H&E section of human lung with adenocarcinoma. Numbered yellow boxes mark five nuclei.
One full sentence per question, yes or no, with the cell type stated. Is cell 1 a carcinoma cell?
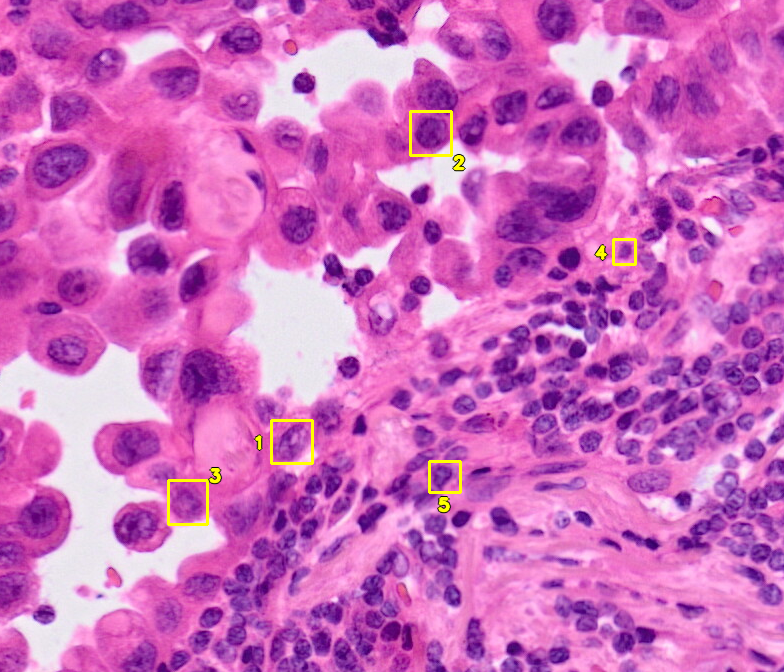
Yes, the cell marked with number 1 is a carcinoma cell.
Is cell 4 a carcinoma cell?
No, the cell carrying number 4 is a lymphocyte rather than a carcinoma cell.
